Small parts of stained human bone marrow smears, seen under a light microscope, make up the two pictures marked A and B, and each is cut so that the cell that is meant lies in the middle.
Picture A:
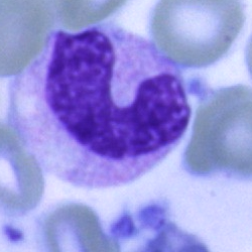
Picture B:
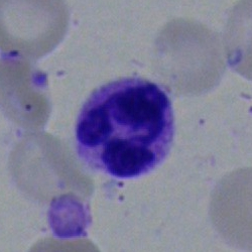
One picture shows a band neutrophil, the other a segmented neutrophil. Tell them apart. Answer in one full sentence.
In picture A the cell is a band neutrophil; in picture B, a segmented neutrophil.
